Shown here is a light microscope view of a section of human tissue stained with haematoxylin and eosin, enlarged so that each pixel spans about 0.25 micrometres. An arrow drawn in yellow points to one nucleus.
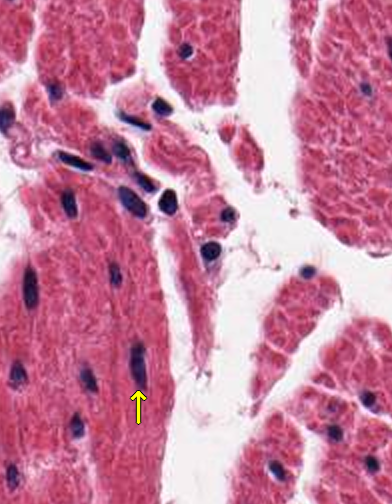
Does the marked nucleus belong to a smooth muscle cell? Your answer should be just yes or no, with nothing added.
yes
